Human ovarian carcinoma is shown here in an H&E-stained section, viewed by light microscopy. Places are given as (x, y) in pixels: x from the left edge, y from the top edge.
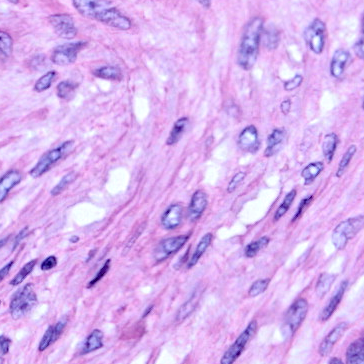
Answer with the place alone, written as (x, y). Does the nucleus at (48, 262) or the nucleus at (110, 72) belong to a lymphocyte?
(48, 262)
